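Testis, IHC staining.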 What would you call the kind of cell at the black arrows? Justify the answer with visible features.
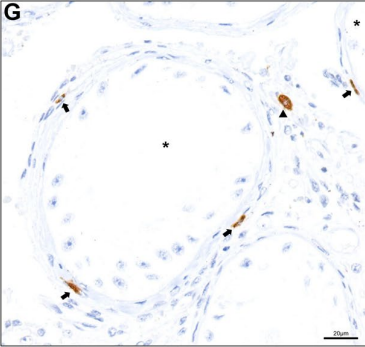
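Peritubular mast cells. Elongated brown-stained cells lie flattened along the thin walls of the round tubules.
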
